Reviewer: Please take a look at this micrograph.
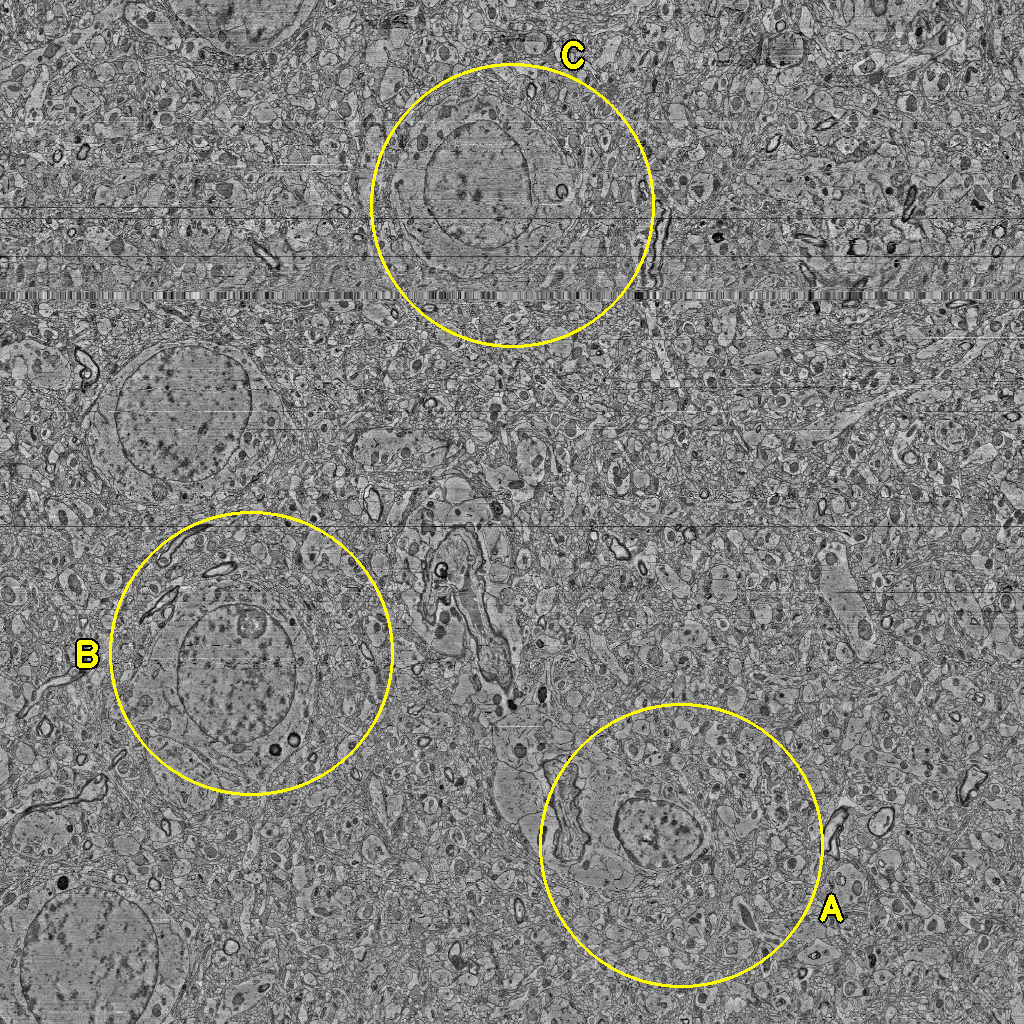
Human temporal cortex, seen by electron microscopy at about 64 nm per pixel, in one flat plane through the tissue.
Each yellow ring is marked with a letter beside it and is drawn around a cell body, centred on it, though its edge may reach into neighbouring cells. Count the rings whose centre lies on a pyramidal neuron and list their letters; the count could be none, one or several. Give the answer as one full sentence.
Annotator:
The rings that are each centred on a pyramidal neuron total two and bear the letters B and C.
